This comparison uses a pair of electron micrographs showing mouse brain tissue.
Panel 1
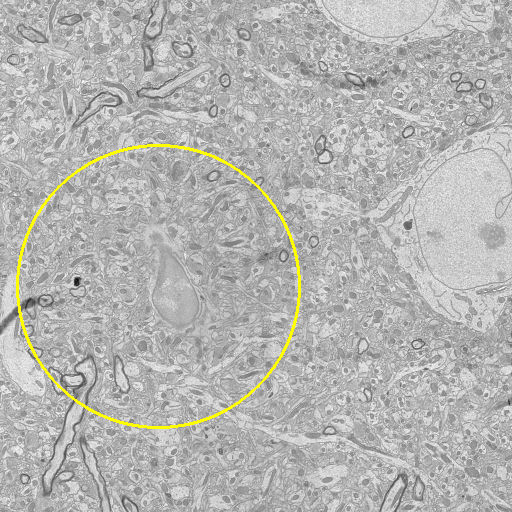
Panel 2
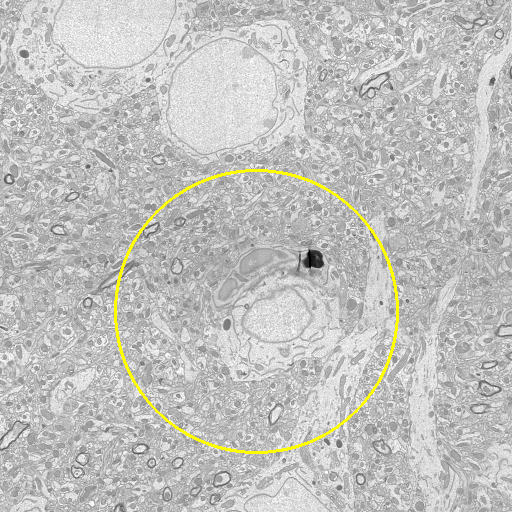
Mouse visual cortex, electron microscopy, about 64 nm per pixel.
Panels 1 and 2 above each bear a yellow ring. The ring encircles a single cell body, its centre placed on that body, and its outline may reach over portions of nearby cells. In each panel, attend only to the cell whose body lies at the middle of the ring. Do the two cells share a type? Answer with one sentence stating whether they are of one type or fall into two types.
In Panel 1 and Panel 2, the cells at the centres of the rings are of one type.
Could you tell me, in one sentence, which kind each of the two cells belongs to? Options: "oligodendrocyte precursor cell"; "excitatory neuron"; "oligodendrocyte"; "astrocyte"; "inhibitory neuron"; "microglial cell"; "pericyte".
Each of the two rings surrounds a microglial cell.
